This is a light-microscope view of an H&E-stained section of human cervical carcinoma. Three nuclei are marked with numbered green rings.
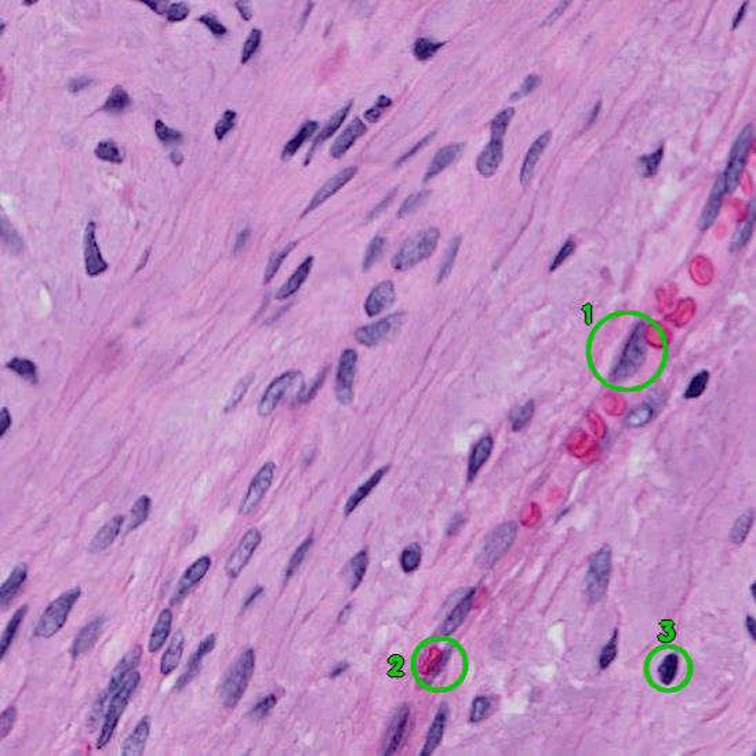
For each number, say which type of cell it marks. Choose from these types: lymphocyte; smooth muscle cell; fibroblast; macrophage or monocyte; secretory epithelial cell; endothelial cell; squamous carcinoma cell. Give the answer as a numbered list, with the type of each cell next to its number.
1. endothelial cell
2. endothelial cell
3. lymphocyte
